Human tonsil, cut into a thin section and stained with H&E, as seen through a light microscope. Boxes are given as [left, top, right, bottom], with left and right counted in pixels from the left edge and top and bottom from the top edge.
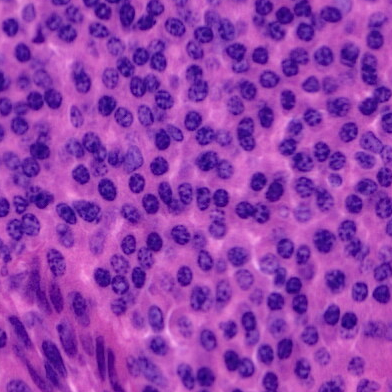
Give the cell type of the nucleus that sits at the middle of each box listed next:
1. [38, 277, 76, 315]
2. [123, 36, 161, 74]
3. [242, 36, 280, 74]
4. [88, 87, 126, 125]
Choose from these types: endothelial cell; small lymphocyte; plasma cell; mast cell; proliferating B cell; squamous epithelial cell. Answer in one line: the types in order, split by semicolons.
squamous epithelial cell; plasma cell; plasma cell; plasma cell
